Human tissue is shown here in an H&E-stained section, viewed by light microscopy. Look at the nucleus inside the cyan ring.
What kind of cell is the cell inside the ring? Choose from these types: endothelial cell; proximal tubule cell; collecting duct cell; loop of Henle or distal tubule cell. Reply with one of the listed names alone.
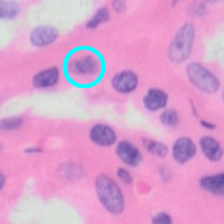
collecting duct cell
